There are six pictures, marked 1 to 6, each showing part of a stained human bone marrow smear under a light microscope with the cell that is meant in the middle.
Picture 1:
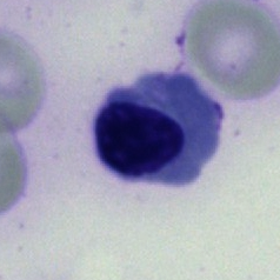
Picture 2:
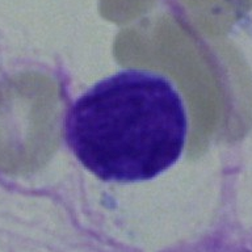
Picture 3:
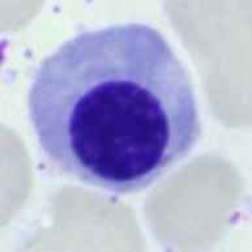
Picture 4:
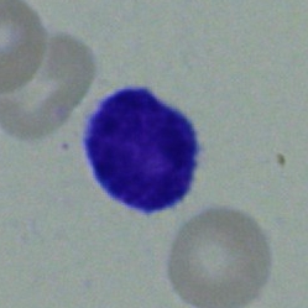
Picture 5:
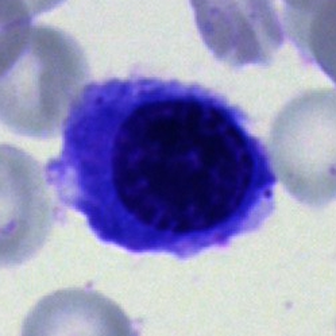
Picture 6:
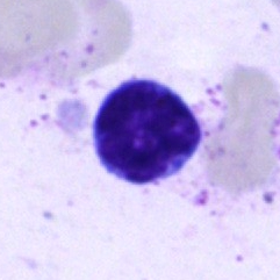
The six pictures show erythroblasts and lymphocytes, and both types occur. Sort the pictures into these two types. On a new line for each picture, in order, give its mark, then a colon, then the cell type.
1: erythroblast
2: lymphocyte
3: erythroblast
4: lymphocyte
5: erythroblast
6: lymphocyte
